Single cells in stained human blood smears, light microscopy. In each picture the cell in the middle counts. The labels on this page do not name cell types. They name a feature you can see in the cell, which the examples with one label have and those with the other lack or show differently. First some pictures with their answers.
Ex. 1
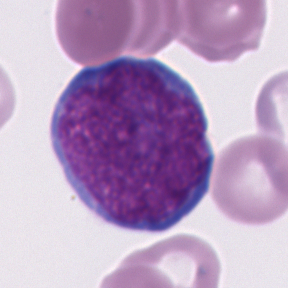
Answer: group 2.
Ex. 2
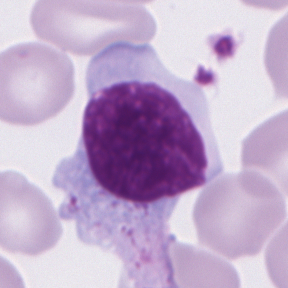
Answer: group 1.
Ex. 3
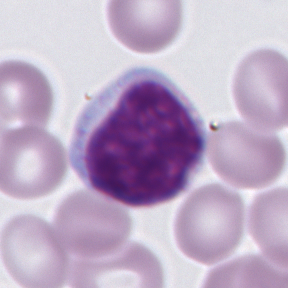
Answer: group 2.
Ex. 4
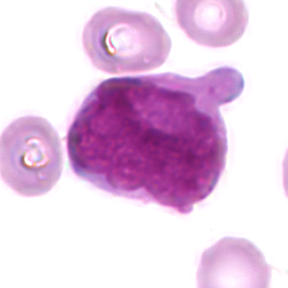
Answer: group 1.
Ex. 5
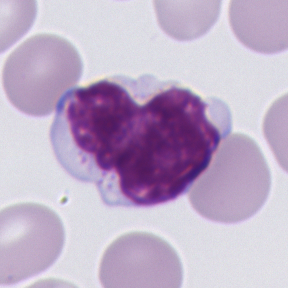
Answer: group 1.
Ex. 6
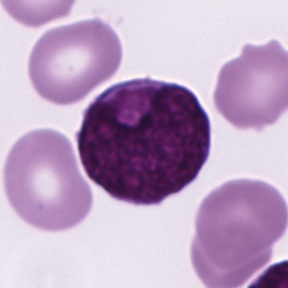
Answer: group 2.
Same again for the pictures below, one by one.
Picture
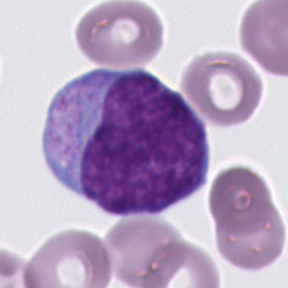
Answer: group 2.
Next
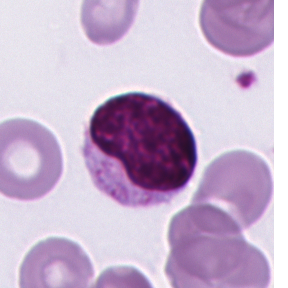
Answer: group 2.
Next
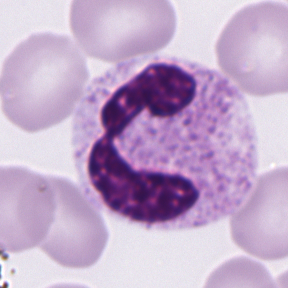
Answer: group 2.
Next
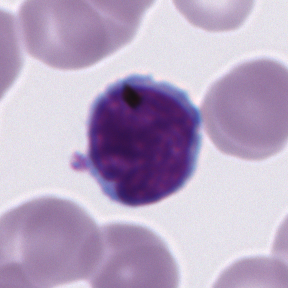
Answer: group 1.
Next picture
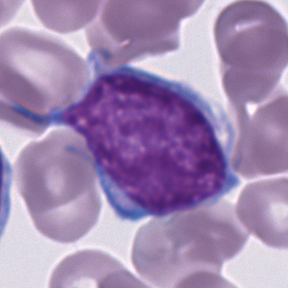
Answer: group 1.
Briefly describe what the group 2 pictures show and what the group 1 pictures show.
Seen in group 2: smooth outline; seen in group 1: ragged outline or projections.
